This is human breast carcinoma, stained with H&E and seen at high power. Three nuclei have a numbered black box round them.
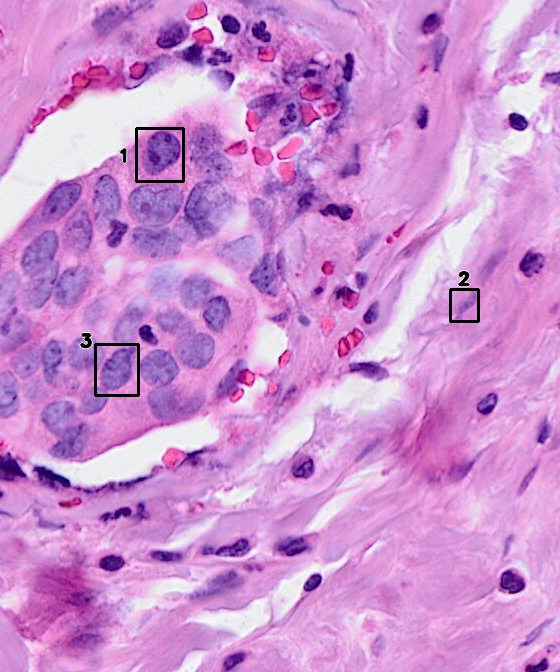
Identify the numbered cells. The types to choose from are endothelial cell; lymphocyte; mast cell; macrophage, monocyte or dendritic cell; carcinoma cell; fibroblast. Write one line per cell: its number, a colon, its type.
1: carcinoma cell
2: fibroblast
3: carcinoma cell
